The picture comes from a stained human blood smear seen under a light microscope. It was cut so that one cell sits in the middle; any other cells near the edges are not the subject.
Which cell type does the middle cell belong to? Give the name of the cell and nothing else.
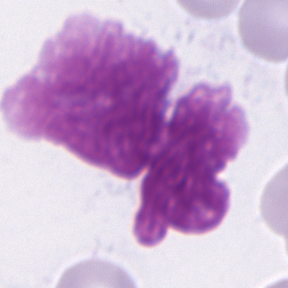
smudge cell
